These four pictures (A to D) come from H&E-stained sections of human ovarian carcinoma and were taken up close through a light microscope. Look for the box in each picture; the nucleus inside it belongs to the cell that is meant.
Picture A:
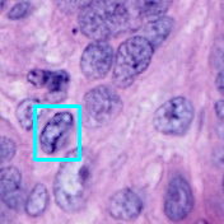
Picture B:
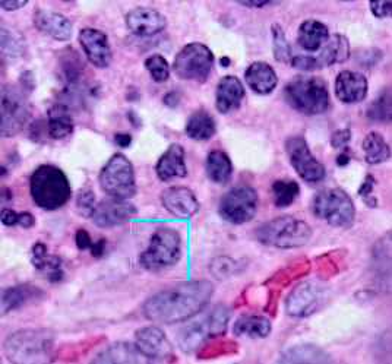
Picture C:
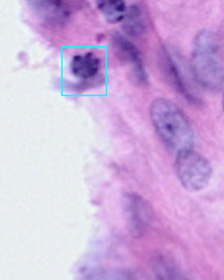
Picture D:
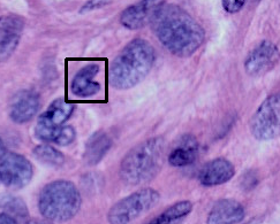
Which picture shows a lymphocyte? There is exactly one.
C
